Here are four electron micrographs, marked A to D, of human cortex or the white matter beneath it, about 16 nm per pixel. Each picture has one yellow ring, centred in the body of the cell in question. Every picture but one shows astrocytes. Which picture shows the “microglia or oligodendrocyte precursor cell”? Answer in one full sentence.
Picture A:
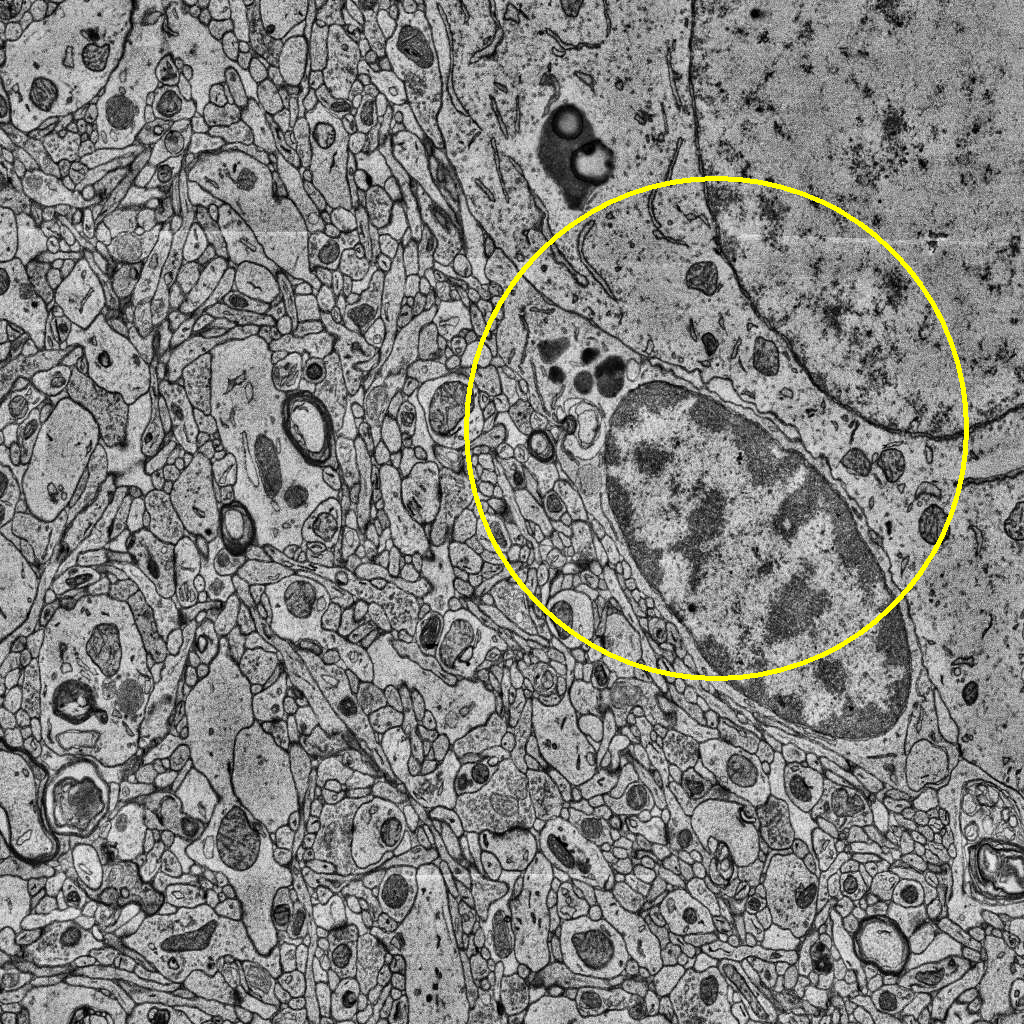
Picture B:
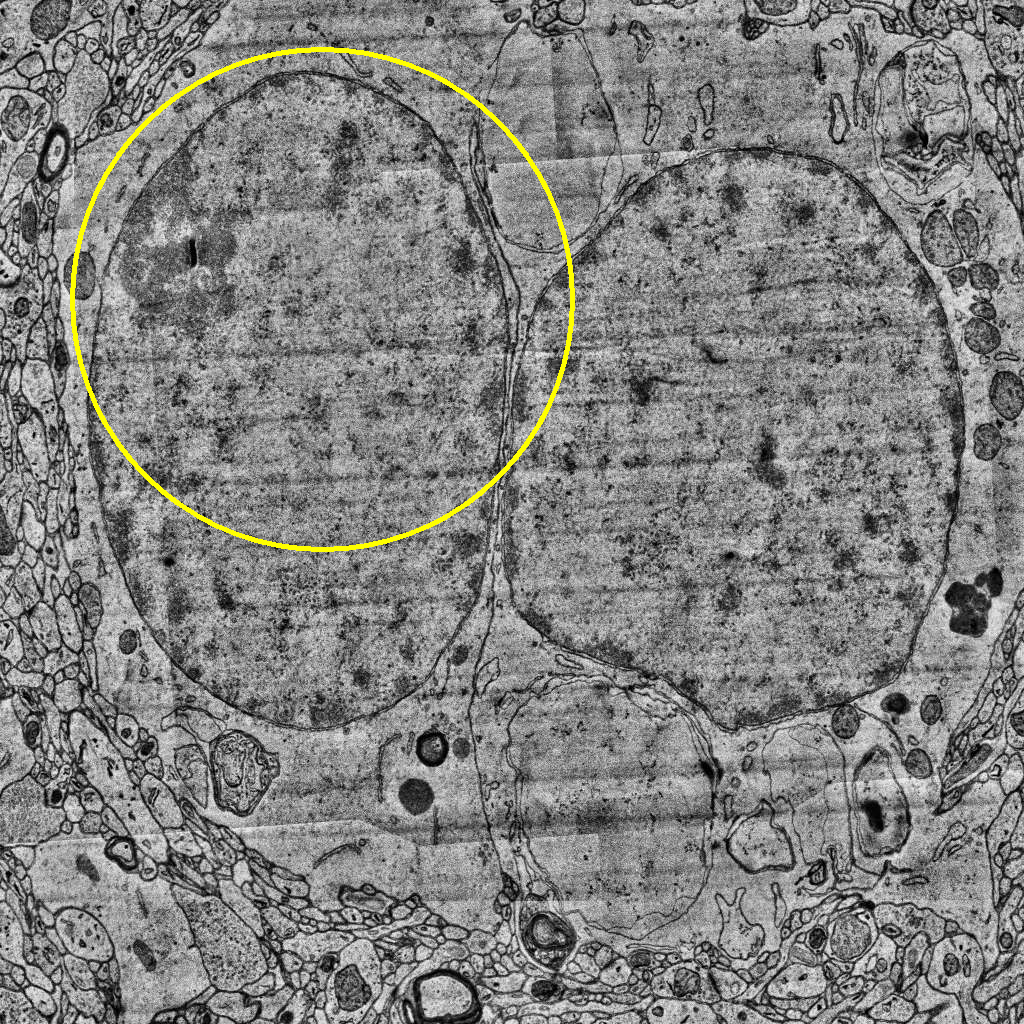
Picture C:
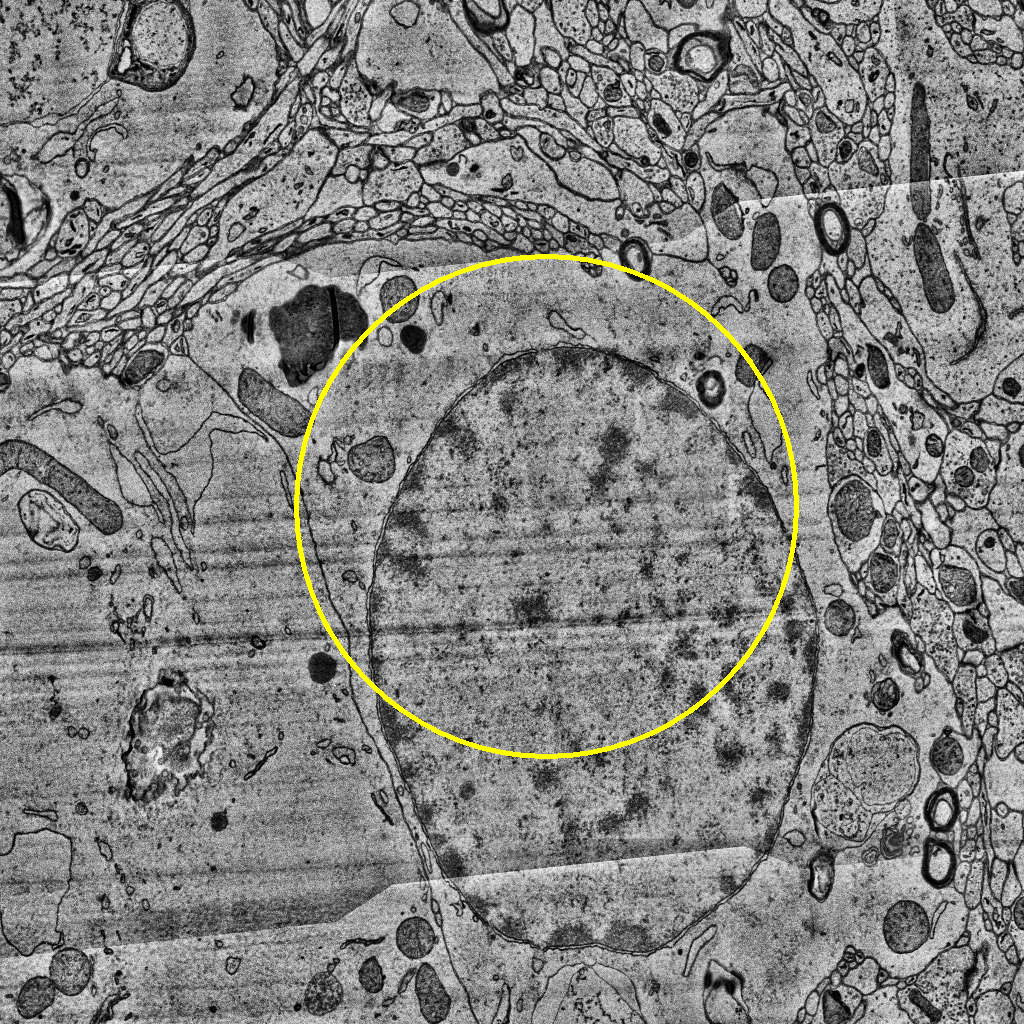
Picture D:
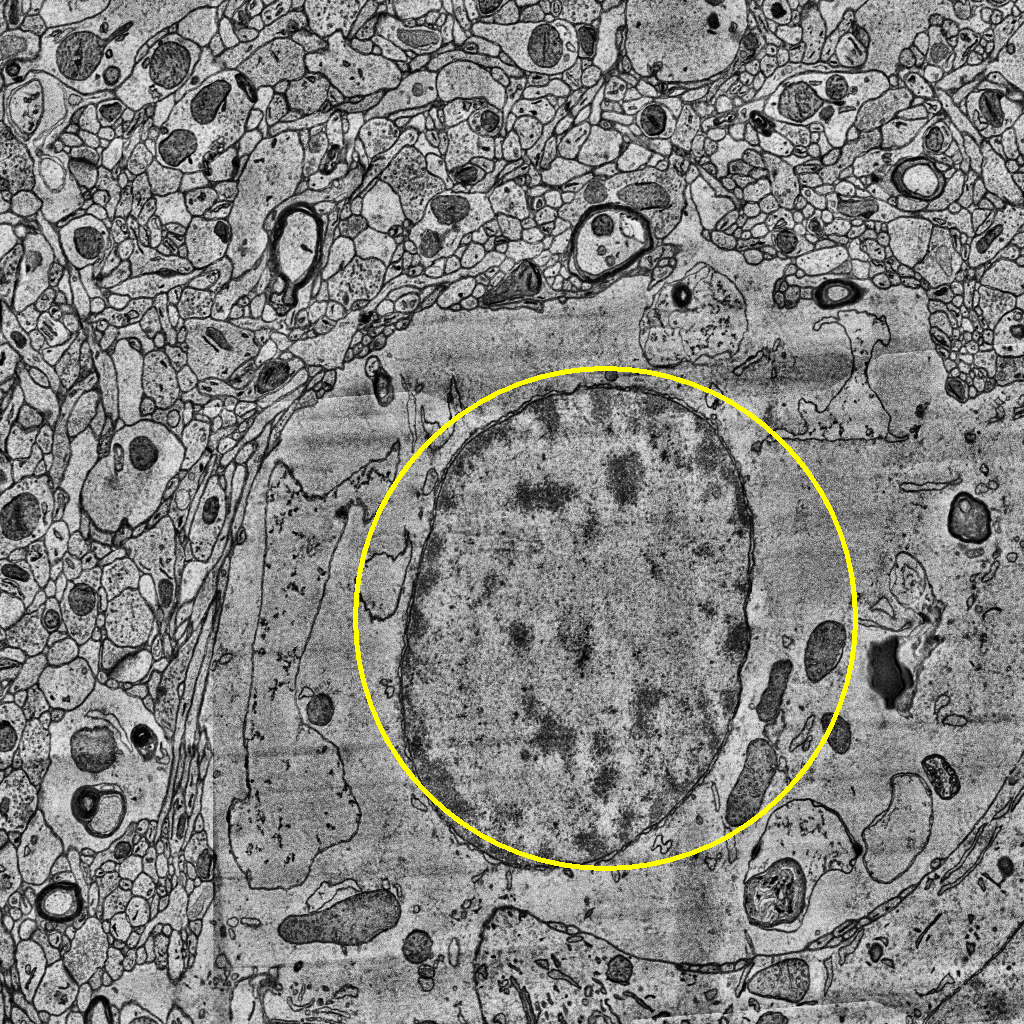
The cell in picture A is the “microglia or oligodendrocyte precursor cell”.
